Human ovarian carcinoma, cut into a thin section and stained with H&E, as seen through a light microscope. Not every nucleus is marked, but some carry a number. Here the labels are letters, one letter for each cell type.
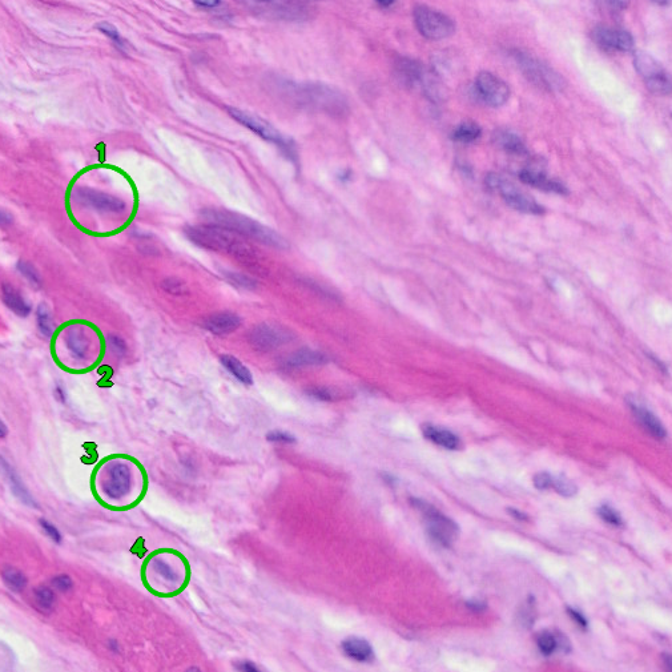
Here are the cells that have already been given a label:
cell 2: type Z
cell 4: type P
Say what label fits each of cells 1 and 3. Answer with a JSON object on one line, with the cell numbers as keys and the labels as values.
{"1": "type Z", "3": "type P"}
